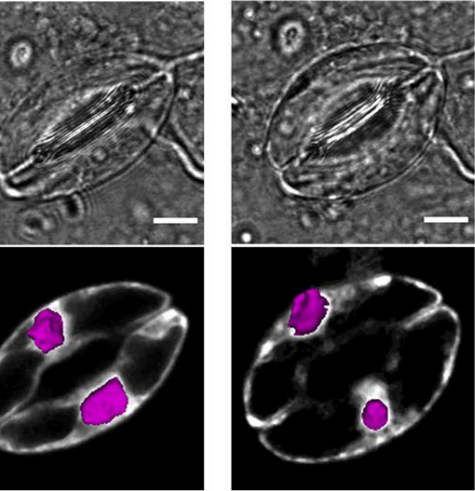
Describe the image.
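A stoma is shown, made of two kidney-shaped guard cells that flank a central pore. In the fluorescence views the cell outlines and cytoplasmic strands appear white, and each guard cell holds a single compact rounded nucleus shown in purple.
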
